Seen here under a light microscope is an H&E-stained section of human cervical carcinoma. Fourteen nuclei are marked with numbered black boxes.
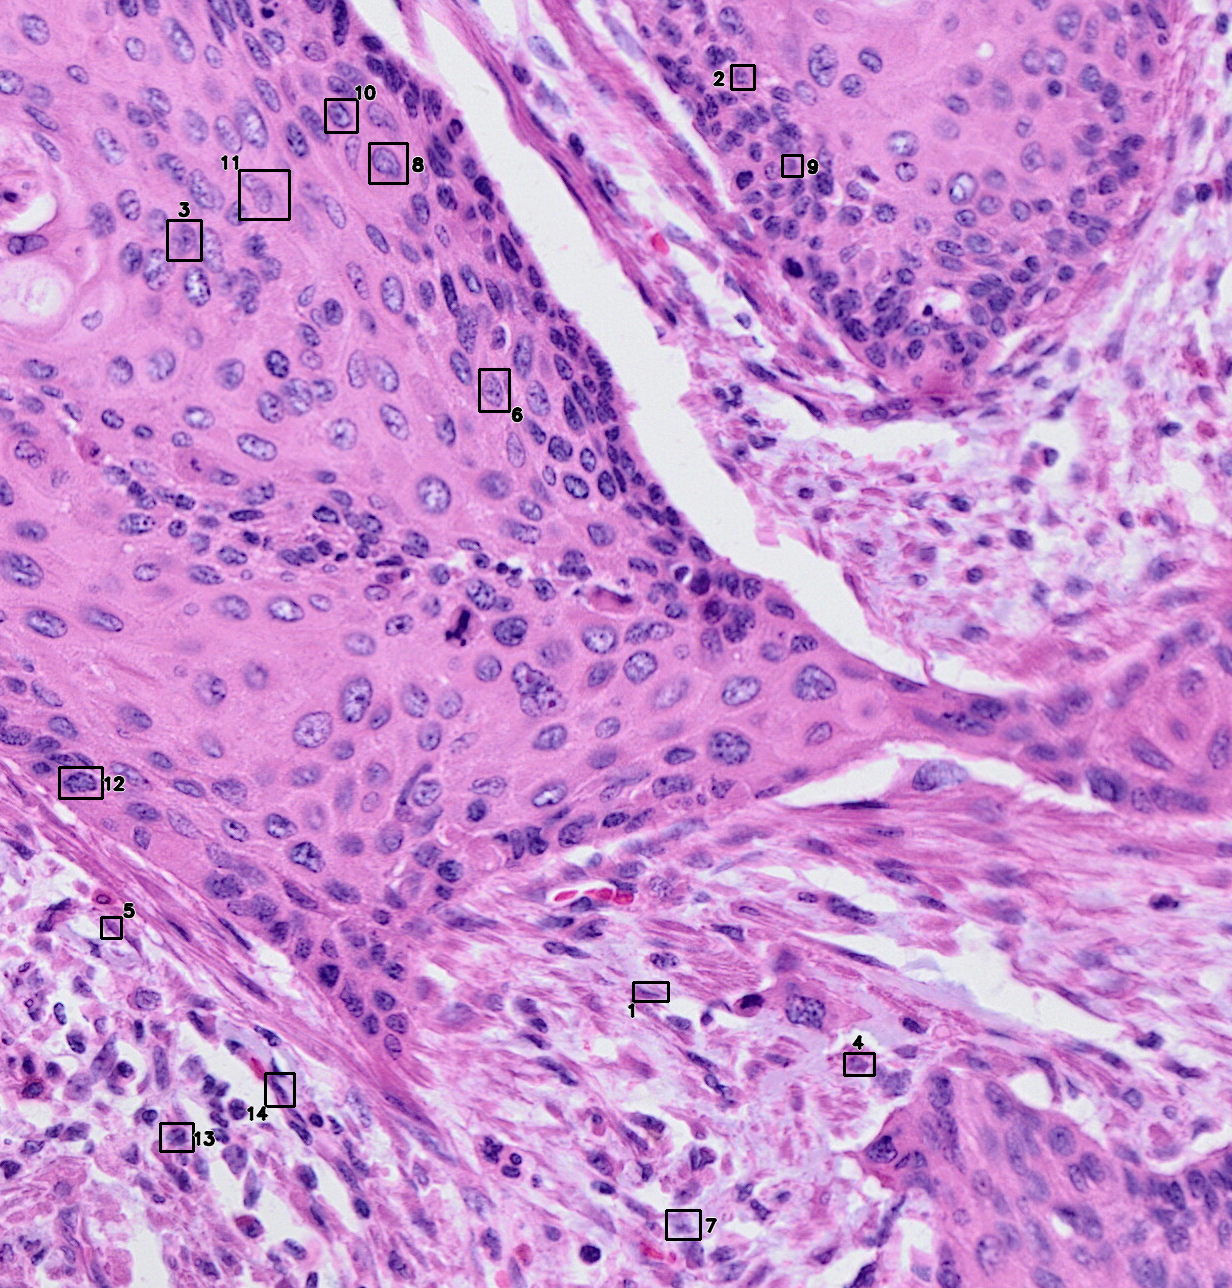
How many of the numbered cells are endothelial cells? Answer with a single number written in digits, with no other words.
1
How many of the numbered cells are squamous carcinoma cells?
8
